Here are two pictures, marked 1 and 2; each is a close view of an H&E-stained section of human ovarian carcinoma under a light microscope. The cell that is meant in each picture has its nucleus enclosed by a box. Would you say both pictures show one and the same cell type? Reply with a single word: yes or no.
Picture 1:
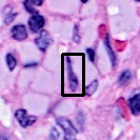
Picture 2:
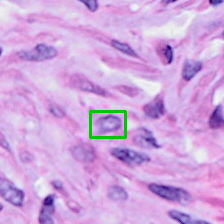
yes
